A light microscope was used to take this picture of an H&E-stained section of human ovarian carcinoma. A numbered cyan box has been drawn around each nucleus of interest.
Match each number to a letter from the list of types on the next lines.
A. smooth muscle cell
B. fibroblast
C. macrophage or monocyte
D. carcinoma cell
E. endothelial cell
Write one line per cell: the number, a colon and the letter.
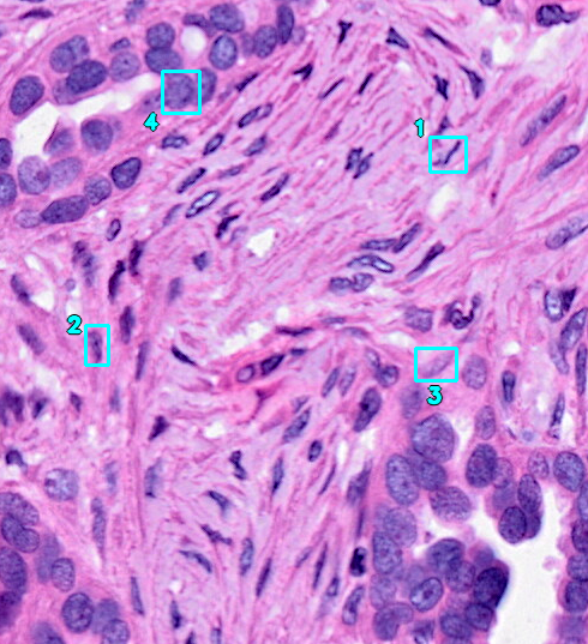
1: B
2: B
3: B
4: D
